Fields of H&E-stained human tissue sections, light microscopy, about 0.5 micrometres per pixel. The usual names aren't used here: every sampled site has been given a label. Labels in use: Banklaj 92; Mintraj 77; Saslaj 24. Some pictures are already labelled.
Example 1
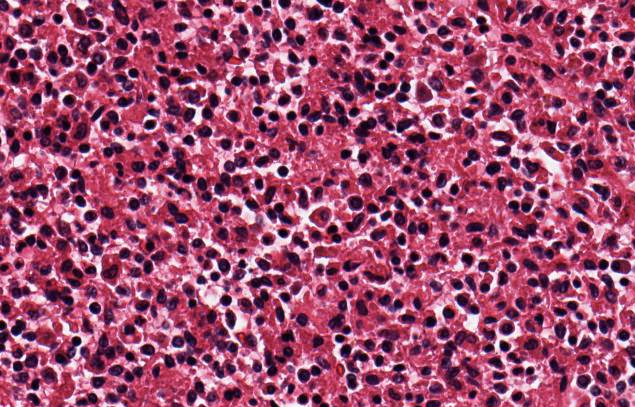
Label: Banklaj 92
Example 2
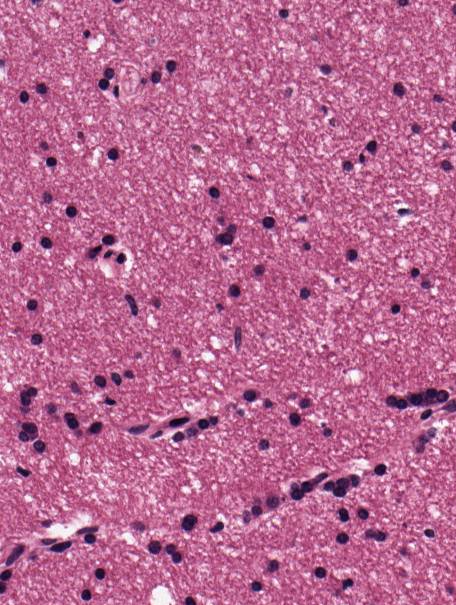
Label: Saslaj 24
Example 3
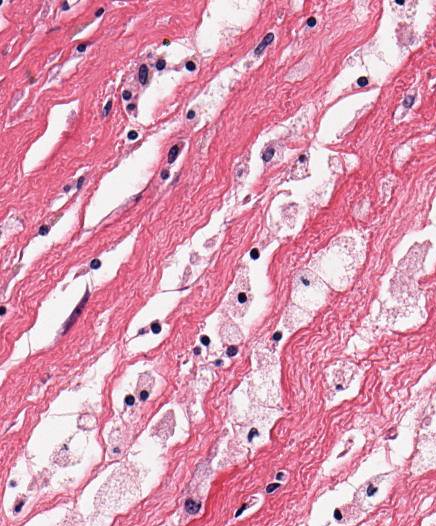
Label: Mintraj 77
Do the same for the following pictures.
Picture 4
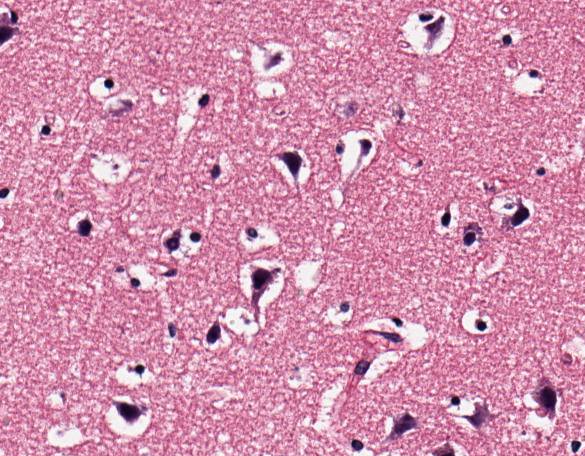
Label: Saslaj 24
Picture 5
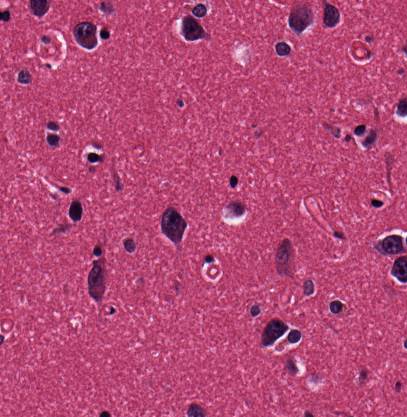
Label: Saslaj 24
